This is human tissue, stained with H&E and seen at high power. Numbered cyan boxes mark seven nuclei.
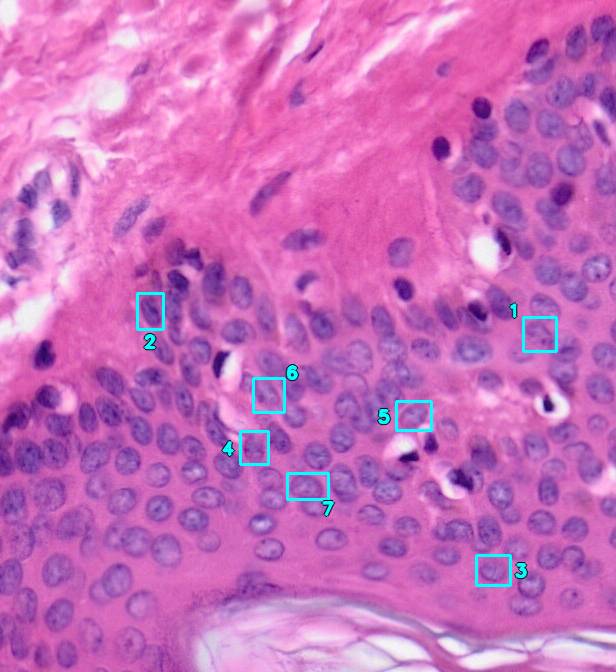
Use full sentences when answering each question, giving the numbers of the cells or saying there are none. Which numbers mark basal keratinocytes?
The cells which carry the numbers 2, 4, 5 and 6 are basal keratinocytes.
